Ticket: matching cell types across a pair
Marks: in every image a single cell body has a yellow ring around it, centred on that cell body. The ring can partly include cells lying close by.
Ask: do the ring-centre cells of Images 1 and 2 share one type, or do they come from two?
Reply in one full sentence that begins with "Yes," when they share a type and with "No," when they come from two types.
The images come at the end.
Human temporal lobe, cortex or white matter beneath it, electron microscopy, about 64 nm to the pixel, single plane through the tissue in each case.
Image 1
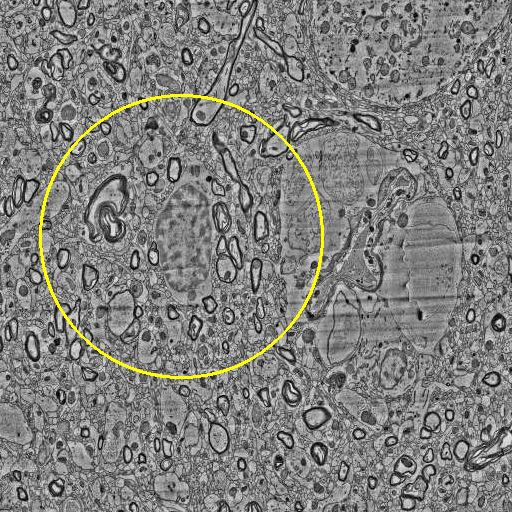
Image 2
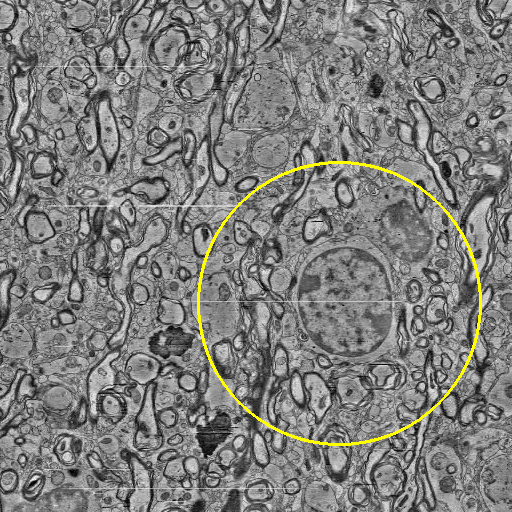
No, the cells in the centres of the rings in Image 1 and Image 2 come from two types.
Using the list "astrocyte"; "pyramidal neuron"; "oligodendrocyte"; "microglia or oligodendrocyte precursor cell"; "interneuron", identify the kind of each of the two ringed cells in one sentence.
The first is an oligodendrocyte and the second is a microglial cell or oligodendrocyte precursor cell.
